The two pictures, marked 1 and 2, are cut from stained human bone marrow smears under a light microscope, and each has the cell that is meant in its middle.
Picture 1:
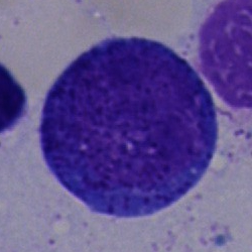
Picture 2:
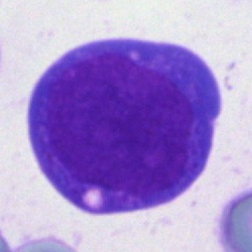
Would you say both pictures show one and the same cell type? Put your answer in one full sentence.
No, they differ: the cell is a promyelocyte in picture 1 and a blast in picture 2.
